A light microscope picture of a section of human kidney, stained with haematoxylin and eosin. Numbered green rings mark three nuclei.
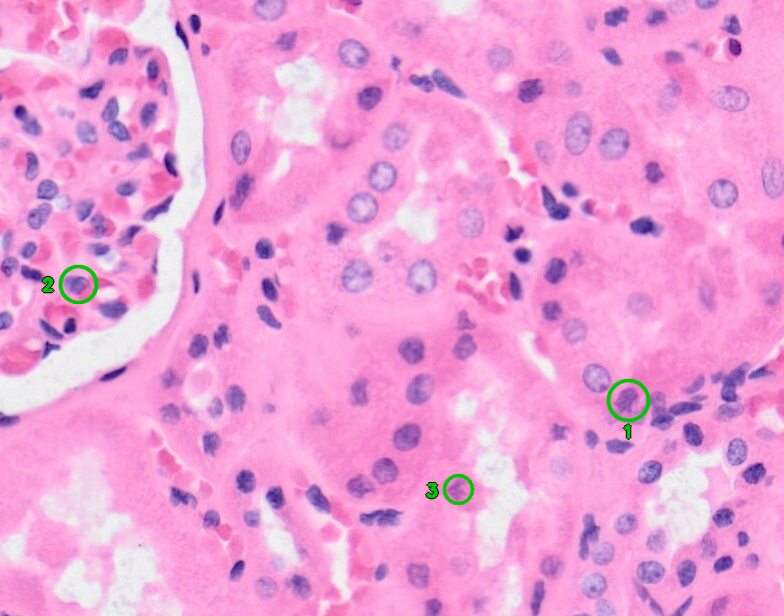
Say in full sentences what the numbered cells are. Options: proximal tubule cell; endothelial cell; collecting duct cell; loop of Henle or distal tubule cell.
Cells 1 and 3 are proximal tubule cells. Cell 2 is an endothelial cell.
